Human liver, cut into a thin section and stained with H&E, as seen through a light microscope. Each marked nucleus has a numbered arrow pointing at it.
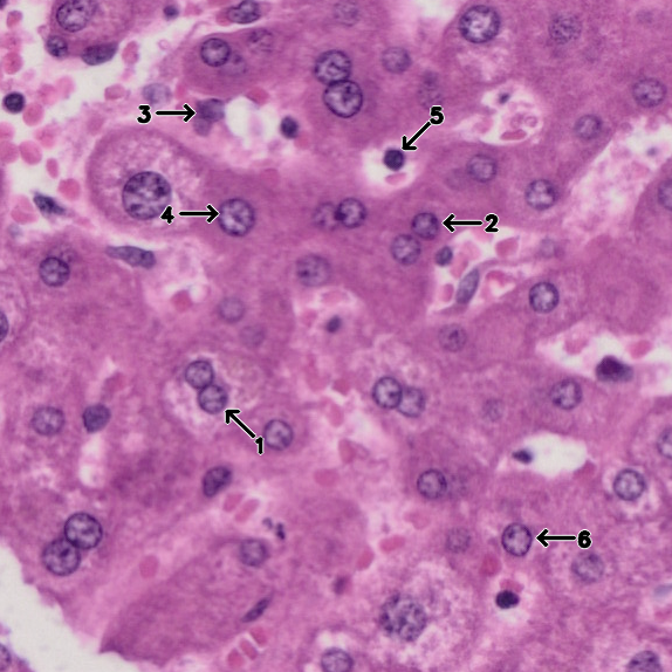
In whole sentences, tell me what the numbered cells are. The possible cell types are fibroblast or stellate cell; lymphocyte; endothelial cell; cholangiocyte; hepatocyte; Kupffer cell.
Cells 1, 2, 4 and 6 are hepatocytes. Cell 3 is an endothelial cell. Cell 5 is a lymphocyte.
